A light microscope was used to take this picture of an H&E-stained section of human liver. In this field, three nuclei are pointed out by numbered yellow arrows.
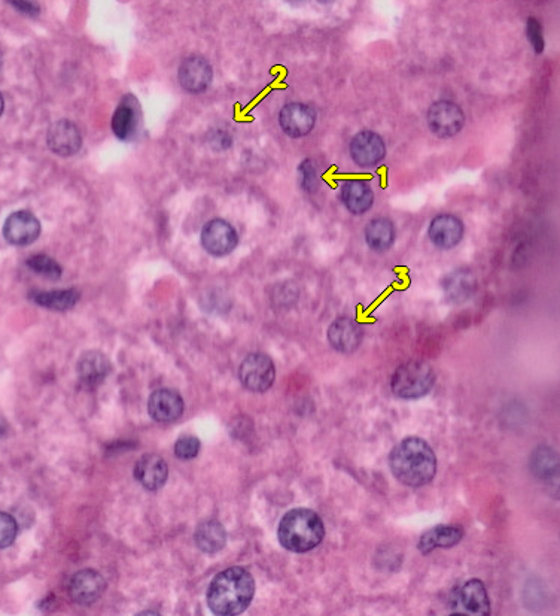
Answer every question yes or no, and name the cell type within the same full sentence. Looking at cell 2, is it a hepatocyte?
Yes, the cell at marker 2 is a hepatocyte.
